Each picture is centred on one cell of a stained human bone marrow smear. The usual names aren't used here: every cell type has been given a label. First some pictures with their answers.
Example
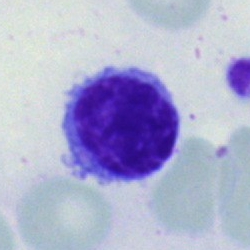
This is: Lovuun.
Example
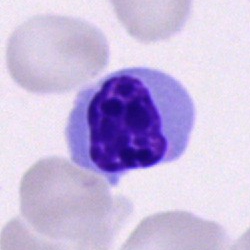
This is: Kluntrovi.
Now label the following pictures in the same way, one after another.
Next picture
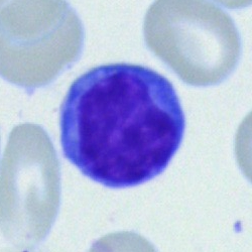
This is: Lovuun.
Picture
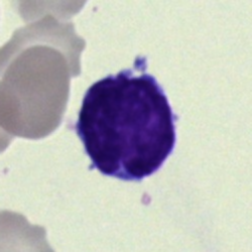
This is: Lovuun.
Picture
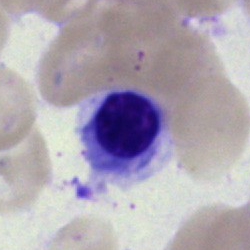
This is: Kluntrovi.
